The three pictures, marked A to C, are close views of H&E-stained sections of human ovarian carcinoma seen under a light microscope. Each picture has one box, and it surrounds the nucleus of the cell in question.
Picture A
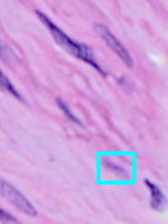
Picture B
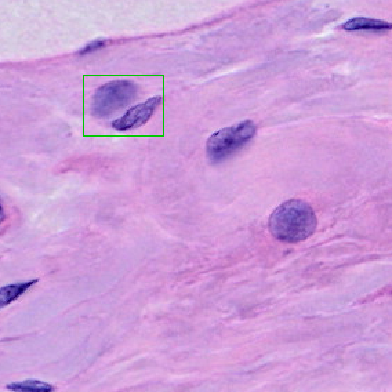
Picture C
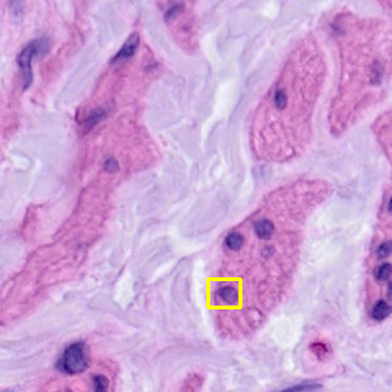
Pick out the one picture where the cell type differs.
B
